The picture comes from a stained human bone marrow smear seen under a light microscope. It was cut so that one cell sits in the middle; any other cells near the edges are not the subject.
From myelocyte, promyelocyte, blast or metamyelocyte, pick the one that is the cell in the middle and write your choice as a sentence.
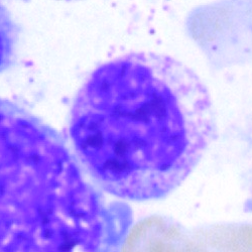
At the crop's centre, the cell is a myelocyte.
